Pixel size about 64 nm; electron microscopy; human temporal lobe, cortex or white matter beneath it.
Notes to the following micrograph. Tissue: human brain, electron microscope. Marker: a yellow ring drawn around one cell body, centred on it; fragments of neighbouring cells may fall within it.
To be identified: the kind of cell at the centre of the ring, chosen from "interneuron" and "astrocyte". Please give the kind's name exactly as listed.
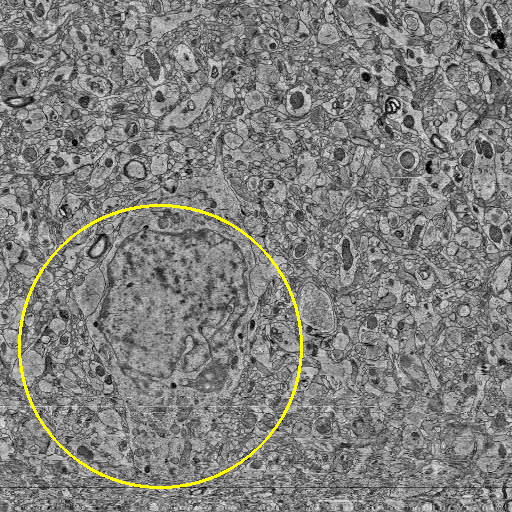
interneuron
